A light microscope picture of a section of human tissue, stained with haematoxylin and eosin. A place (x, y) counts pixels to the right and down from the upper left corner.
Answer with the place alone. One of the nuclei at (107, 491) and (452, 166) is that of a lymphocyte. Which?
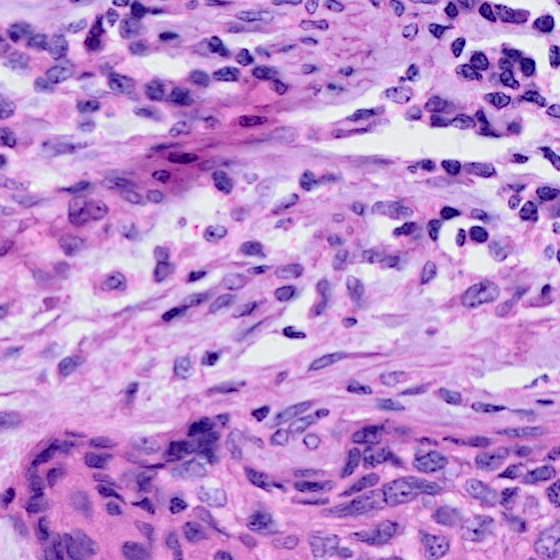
(452, 166)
